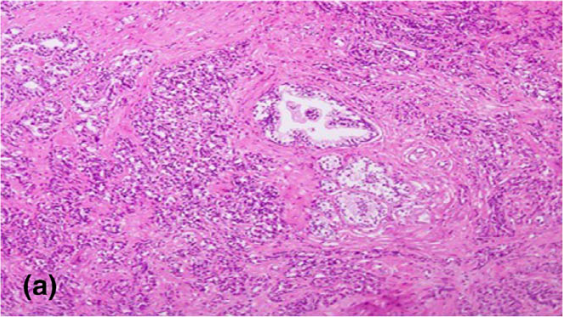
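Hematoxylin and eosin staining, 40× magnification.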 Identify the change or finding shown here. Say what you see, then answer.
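Prostatic adenocarcinoma. Sheets and fused nests of small dark cells infiltrate the stroma. A single larger gland with papillary infoldings lies among them.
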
